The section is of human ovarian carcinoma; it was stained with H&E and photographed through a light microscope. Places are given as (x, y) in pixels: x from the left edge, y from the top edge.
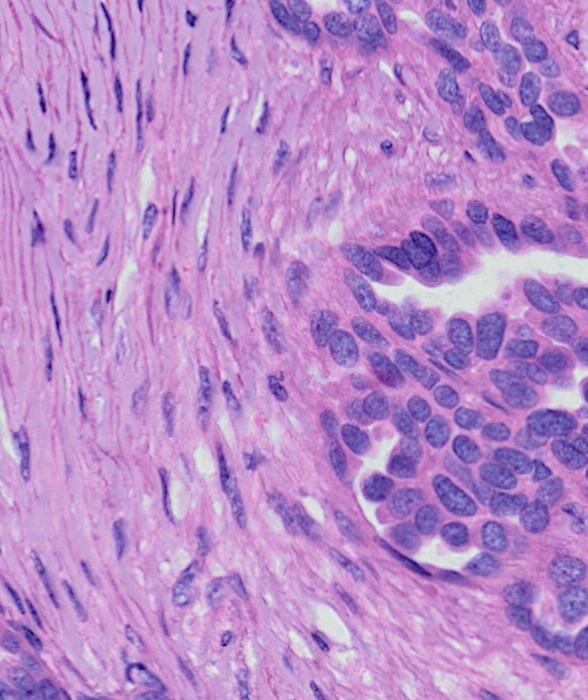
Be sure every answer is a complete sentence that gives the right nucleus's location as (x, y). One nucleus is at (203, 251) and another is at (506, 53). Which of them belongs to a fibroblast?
The nucleus at (203, 251) is assigned to a fibroblast.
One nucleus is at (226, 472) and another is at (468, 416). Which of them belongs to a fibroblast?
It is the nucleus at (226, 472), not the other one, that belongs to a fibroblast.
